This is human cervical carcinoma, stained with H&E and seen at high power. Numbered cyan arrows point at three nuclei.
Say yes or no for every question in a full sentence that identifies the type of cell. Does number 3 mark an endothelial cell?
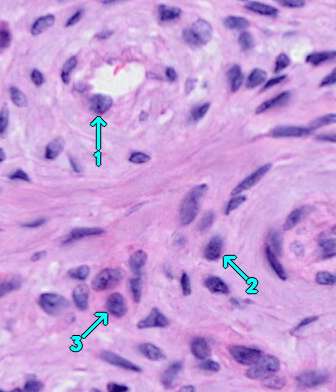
Yes, that one, number 3, is an endothelial cell.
